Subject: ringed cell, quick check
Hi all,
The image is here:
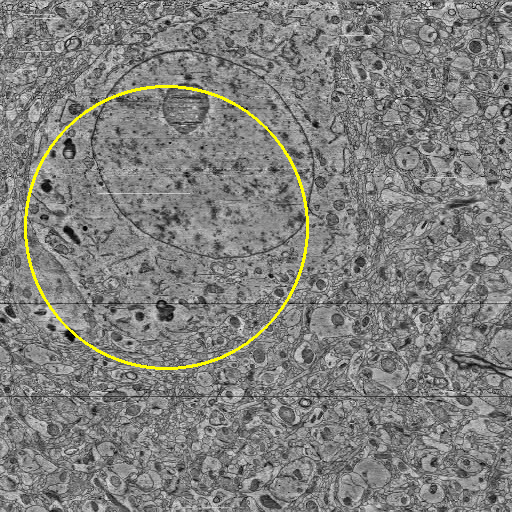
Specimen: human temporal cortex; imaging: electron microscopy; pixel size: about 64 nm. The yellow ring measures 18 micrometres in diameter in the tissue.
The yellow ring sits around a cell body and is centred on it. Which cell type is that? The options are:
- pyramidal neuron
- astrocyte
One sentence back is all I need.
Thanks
That ringed cell is a pyramidal neuron.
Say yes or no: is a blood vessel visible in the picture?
No, there is no blood vessel in the image.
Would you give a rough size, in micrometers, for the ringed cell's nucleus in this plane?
In this plane, approximately 15 by 13 micrometers.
